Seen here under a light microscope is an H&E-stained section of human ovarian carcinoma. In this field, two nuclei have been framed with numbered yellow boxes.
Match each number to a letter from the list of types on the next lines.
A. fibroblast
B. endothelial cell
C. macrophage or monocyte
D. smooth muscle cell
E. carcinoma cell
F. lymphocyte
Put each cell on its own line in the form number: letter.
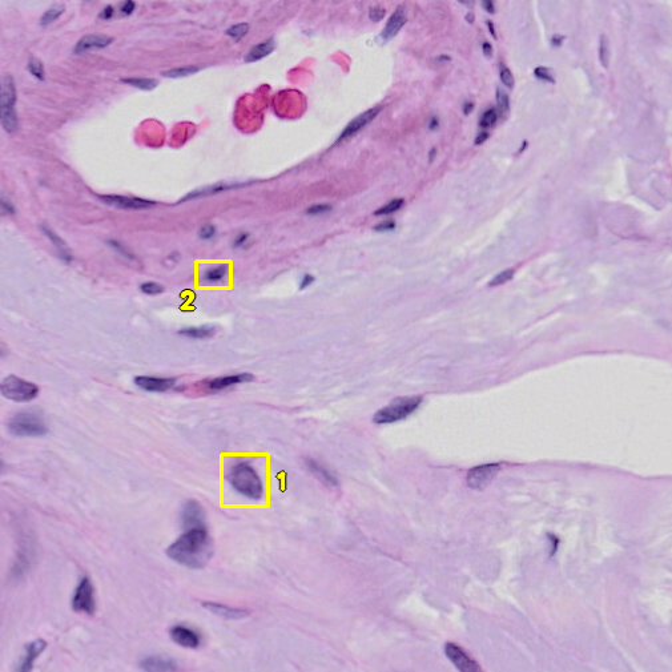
1: A
2: D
